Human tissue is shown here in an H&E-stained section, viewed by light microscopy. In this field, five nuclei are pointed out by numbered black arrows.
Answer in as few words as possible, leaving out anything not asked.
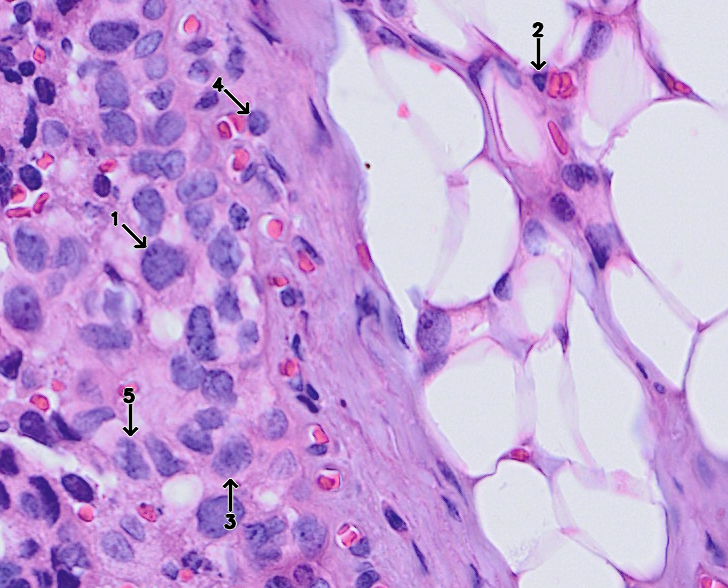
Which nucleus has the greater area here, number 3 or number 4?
3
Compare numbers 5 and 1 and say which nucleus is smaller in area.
5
